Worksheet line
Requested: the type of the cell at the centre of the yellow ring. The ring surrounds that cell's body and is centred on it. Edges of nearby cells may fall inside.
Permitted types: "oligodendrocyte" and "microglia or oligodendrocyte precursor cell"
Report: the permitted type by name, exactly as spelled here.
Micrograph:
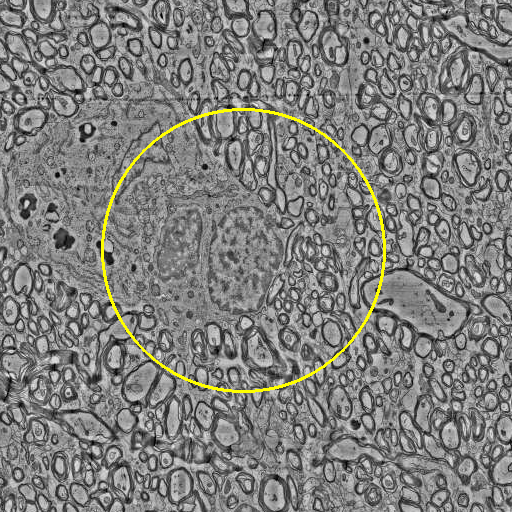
oligodendrocyte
